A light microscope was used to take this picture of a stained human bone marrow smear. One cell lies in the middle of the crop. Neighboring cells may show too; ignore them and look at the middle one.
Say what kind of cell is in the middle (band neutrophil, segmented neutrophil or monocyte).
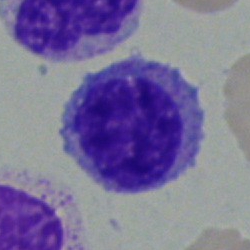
monocyte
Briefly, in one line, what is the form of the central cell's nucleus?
The nuclear material is gathered into one compact round, oval or kidney-shaped mass.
